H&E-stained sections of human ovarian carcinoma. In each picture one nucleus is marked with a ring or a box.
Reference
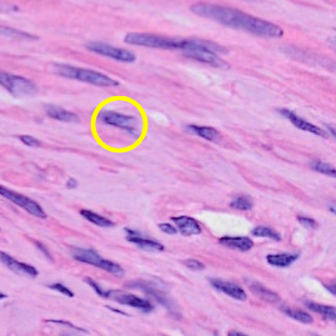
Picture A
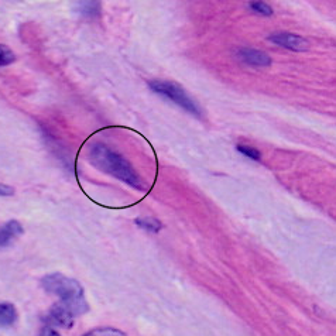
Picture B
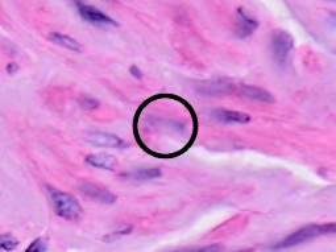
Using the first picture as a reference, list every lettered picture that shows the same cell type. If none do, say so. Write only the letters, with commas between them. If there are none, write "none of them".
A, B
